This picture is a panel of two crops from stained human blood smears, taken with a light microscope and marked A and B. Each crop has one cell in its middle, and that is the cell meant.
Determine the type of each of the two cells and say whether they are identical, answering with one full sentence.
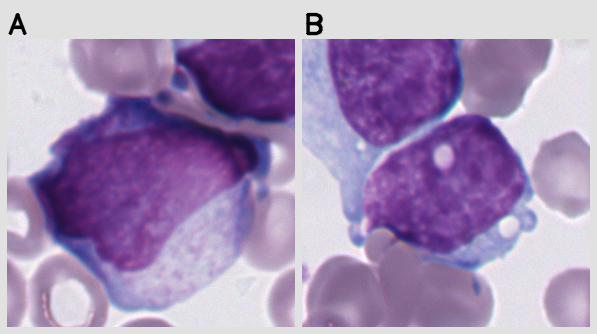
No, it is crop A that shows a promyelocyte, and crop B shows a myeloblast.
